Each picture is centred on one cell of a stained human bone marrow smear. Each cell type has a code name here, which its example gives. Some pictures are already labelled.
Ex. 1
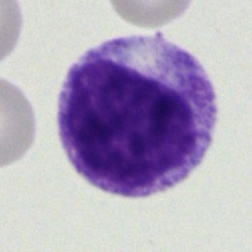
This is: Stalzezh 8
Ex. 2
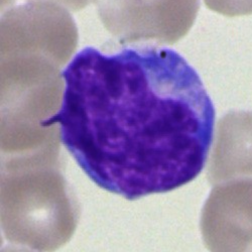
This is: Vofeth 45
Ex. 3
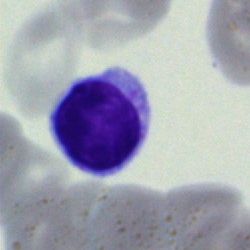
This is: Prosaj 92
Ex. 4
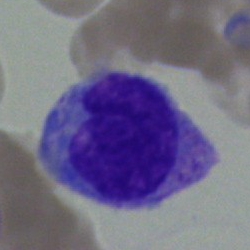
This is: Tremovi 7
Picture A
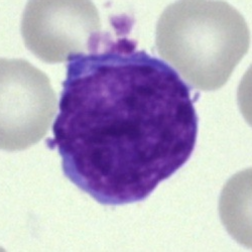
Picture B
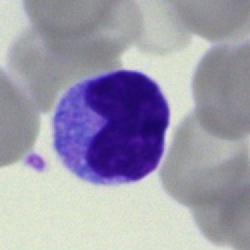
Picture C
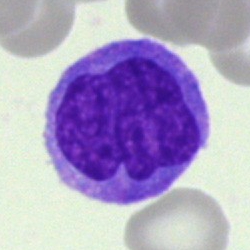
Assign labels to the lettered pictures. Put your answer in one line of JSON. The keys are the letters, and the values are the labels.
{"A": "Vofeth 45", "B": "Tremovi 7", "C": "Tremovi 7"}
